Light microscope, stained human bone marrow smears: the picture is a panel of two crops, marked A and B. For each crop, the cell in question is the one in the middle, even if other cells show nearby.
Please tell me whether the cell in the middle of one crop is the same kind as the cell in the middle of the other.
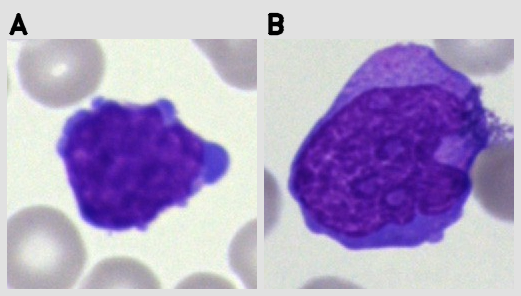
yes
